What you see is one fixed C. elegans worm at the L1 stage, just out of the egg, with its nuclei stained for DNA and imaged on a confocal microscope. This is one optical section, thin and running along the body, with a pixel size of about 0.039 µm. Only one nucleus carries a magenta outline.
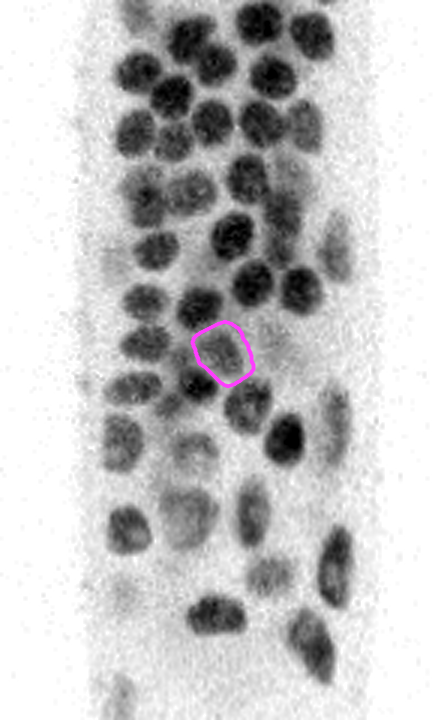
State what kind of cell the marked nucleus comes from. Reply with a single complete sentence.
The cell with the marked nucleus is a pharyngeal muscle cell.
